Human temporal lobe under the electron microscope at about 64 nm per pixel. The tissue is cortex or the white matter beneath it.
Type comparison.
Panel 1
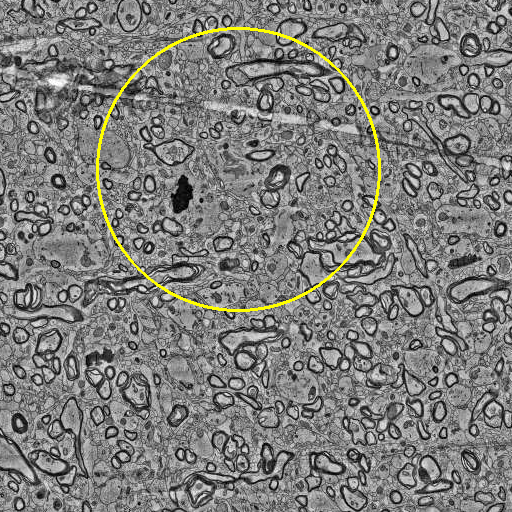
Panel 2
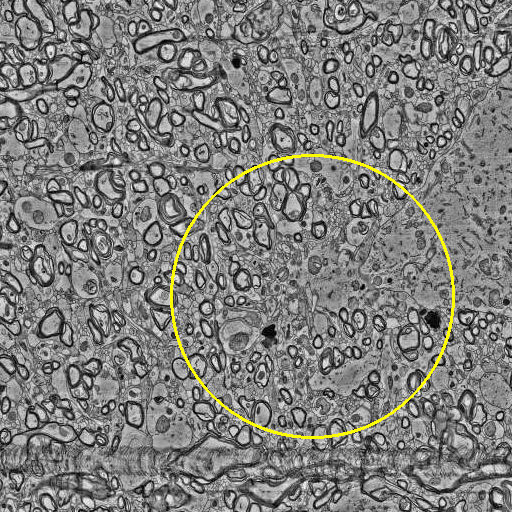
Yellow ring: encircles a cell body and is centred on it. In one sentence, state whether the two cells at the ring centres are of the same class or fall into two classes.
In these panels, the two cells at the ring centres are of the same class.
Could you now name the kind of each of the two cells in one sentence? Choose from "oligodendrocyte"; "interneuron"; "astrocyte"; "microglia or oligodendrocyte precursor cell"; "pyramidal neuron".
Each of the two pictures has an oligodendrocyte at the ring centre.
